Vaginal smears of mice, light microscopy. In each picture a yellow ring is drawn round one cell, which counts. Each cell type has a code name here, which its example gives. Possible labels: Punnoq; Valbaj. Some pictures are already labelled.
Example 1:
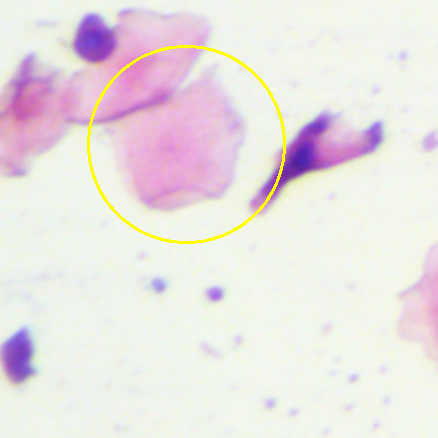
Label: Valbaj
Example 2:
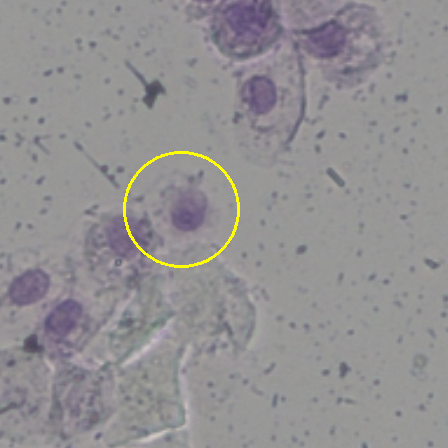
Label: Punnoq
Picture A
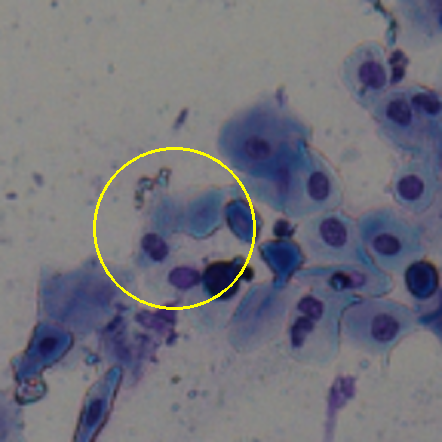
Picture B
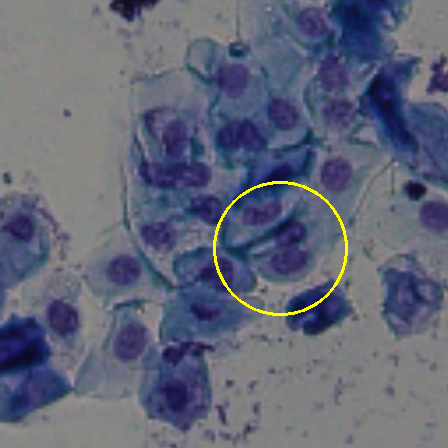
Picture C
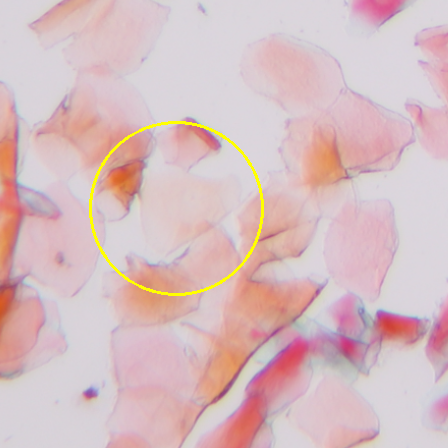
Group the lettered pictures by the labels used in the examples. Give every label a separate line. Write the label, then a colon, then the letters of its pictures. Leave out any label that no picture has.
Punnoq: A, B
Valbaj: C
